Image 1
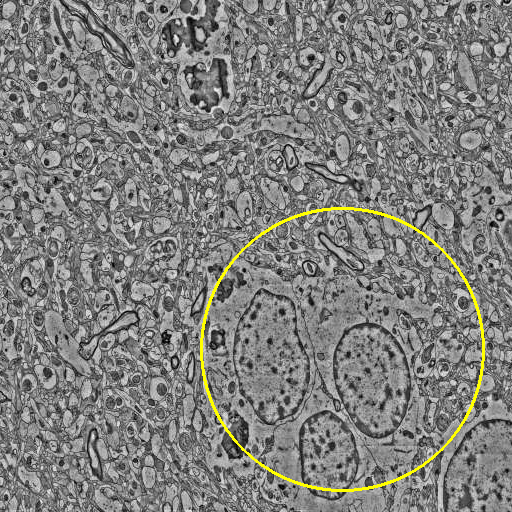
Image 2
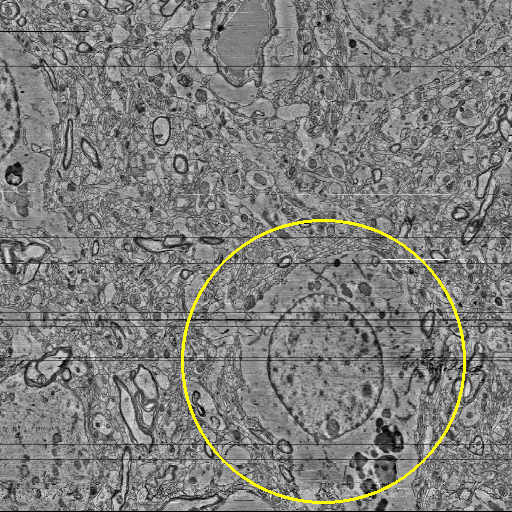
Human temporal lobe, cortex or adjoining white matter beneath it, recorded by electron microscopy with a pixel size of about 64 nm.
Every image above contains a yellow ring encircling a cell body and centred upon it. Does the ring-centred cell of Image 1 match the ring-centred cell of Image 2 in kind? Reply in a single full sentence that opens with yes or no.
Yes, the cell at the ring's centre in Image 1 is the same kind as that in Image 2.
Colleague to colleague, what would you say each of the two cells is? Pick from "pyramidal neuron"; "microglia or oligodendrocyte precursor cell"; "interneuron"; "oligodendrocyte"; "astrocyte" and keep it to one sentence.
In each picture the ringed cell is an astrocyte.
